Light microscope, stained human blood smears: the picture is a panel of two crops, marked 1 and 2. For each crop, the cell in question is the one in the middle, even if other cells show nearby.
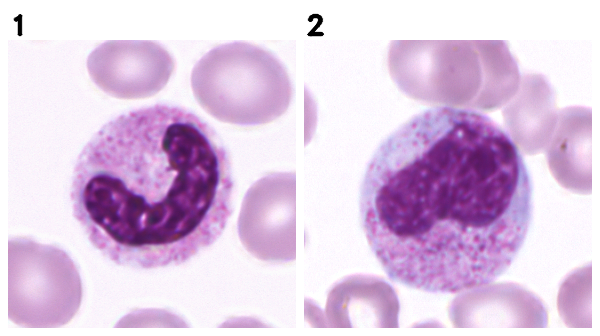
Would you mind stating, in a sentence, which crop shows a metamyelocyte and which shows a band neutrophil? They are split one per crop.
The middle of crop 1 is occupied by a band neutrophil, and the middle of crop 2 by a metamyelocyte.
